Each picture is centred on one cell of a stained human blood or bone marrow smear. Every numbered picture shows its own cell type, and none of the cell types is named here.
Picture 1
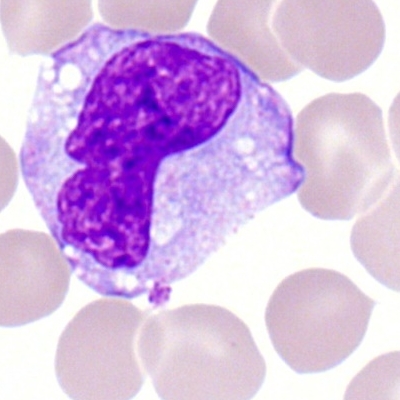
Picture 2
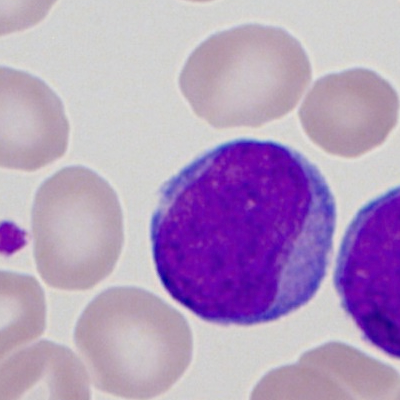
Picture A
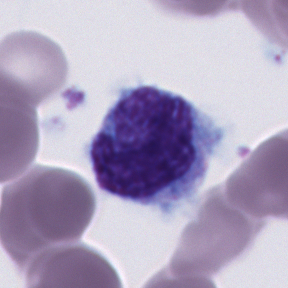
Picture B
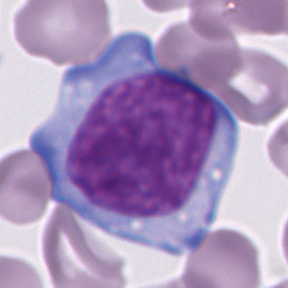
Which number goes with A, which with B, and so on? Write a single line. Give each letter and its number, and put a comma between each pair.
A 1, B 2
